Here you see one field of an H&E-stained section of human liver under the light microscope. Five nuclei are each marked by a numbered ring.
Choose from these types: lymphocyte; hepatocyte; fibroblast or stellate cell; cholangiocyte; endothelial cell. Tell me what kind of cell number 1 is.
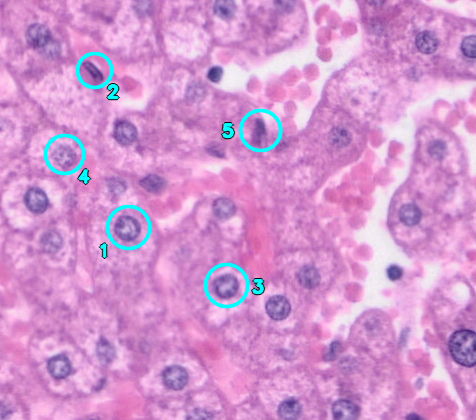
hepatocyte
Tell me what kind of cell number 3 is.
hepatocyte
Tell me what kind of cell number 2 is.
endothelial cell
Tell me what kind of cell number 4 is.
hepatocyte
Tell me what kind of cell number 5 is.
fibroblast or stellate cell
